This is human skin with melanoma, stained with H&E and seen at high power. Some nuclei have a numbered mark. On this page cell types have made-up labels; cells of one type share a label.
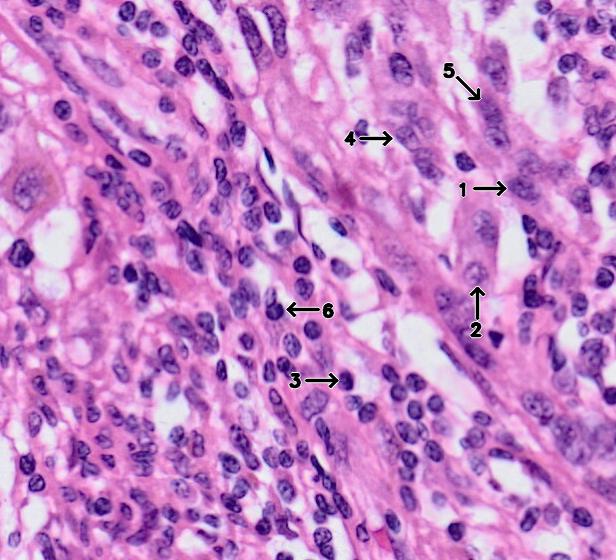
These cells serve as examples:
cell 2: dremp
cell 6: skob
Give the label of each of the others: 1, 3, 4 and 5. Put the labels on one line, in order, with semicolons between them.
dremp; skob; dremp; dremp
